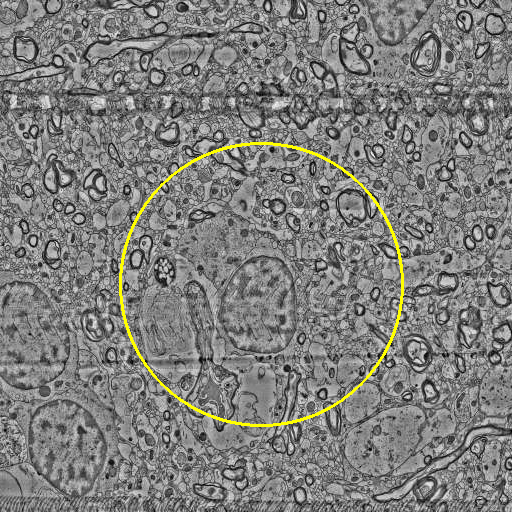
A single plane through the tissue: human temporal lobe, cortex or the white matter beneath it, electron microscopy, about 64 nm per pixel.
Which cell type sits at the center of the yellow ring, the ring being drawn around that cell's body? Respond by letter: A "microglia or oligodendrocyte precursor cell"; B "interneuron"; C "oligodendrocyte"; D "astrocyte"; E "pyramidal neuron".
C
